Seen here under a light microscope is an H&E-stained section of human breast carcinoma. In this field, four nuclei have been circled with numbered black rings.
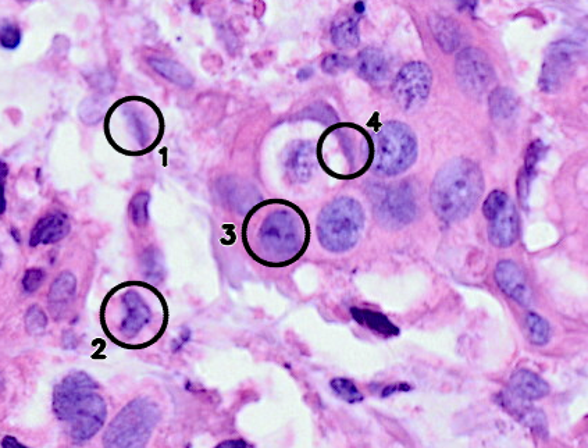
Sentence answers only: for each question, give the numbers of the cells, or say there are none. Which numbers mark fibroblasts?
Only the cell numbered 1 is a fibroblast, and the others are something else.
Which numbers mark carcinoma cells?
So, the cells with numbers 3 and 4 are carcinoma cells.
